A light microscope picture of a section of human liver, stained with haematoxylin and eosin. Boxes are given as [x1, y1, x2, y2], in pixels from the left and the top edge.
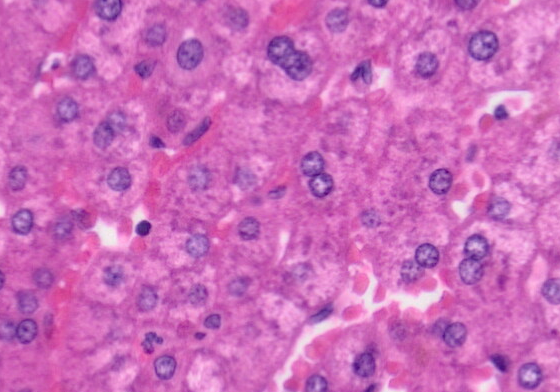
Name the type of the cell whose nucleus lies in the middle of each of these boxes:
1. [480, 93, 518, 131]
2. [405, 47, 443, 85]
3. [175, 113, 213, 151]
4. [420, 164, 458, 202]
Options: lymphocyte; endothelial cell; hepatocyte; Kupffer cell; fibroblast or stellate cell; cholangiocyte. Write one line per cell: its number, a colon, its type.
1: lymphocyte
2: hepatocyte
3: Kupffer cell
4: hepatocyte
